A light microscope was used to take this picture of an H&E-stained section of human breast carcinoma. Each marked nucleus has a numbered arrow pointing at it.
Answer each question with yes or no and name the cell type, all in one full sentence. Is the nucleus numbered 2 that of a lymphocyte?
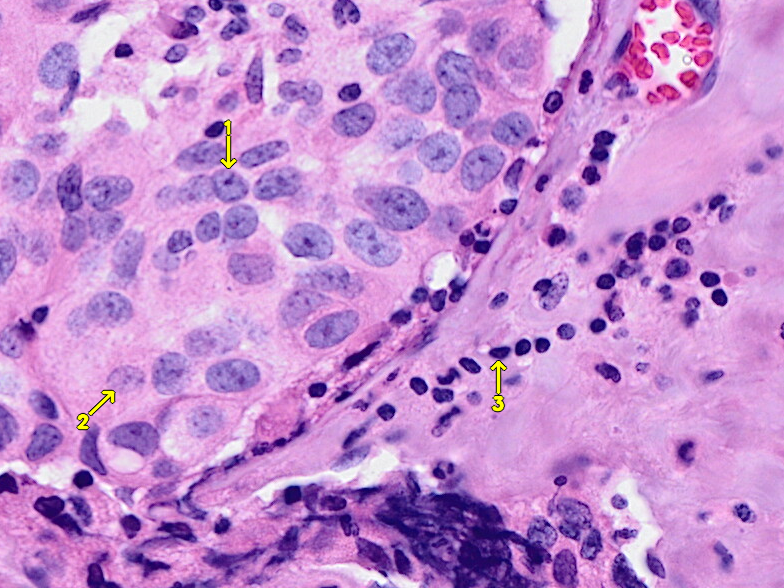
No, the cell carrying number 2 is a carcinoma cell, not a lymphocyte.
